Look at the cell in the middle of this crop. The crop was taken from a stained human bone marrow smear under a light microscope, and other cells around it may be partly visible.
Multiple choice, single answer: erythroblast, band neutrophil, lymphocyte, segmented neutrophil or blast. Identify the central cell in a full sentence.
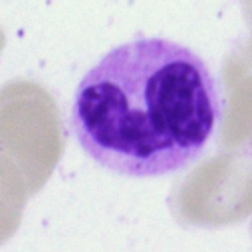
The centered cell in this crop is a segmented neutrophil.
